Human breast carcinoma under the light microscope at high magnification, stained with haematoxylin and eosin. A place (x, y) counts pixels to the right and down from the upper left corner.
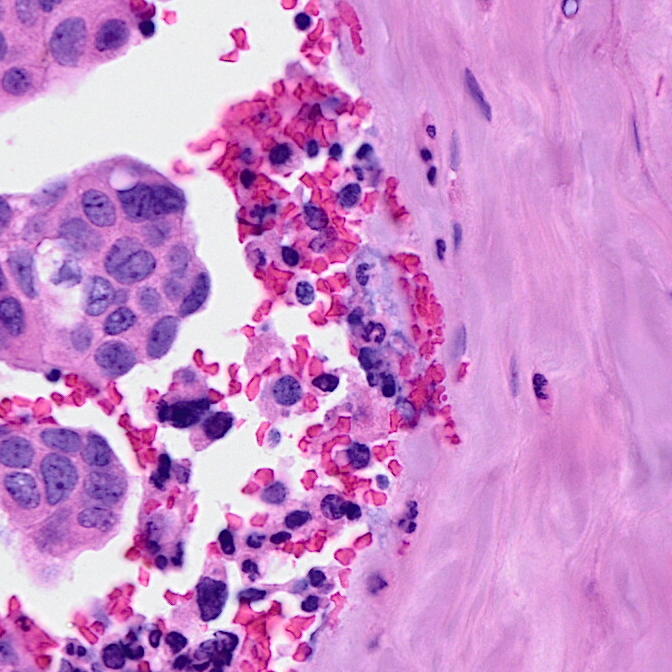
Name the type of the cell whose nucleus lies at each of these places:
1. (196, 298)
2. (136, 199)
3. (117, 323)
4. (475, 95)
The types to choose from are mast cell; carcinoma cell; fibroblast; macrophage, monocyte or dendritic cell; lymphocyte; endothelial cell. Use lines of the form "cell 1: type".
cell 1: carcinoma cell
cell 2: carcinoma cell
cell 3: carcinoma cell
cell 4: fibroblast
